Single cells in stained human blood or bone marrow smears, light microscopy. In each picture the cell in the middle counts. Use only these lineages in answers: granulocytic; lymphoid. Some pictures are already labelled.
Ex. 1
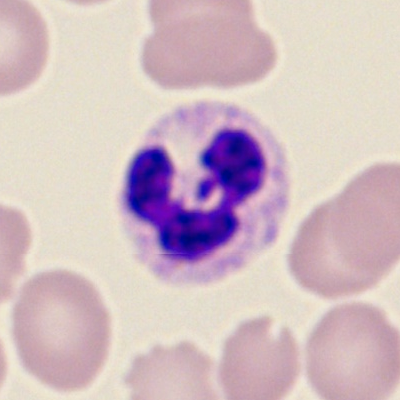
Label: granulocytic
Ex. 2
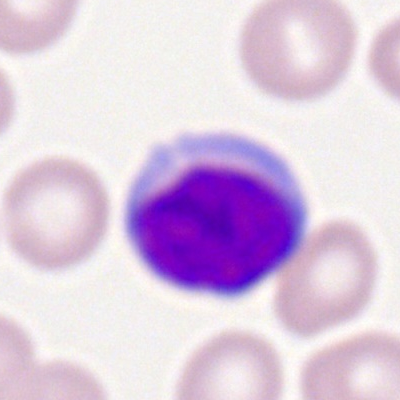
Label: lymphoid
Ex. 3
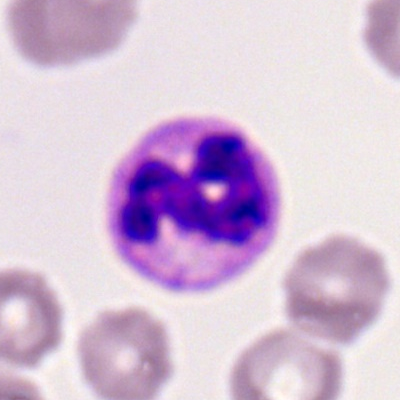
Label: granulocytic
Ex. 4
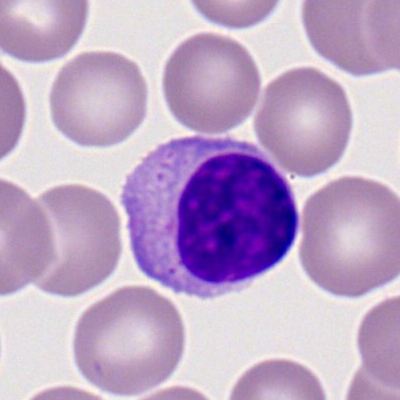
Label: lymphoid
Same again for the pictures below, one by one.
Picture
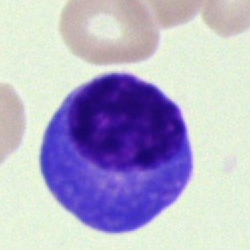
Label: lymphoid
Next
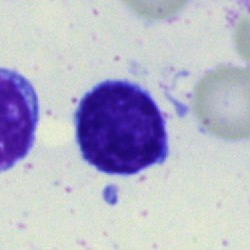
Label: lymphoid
